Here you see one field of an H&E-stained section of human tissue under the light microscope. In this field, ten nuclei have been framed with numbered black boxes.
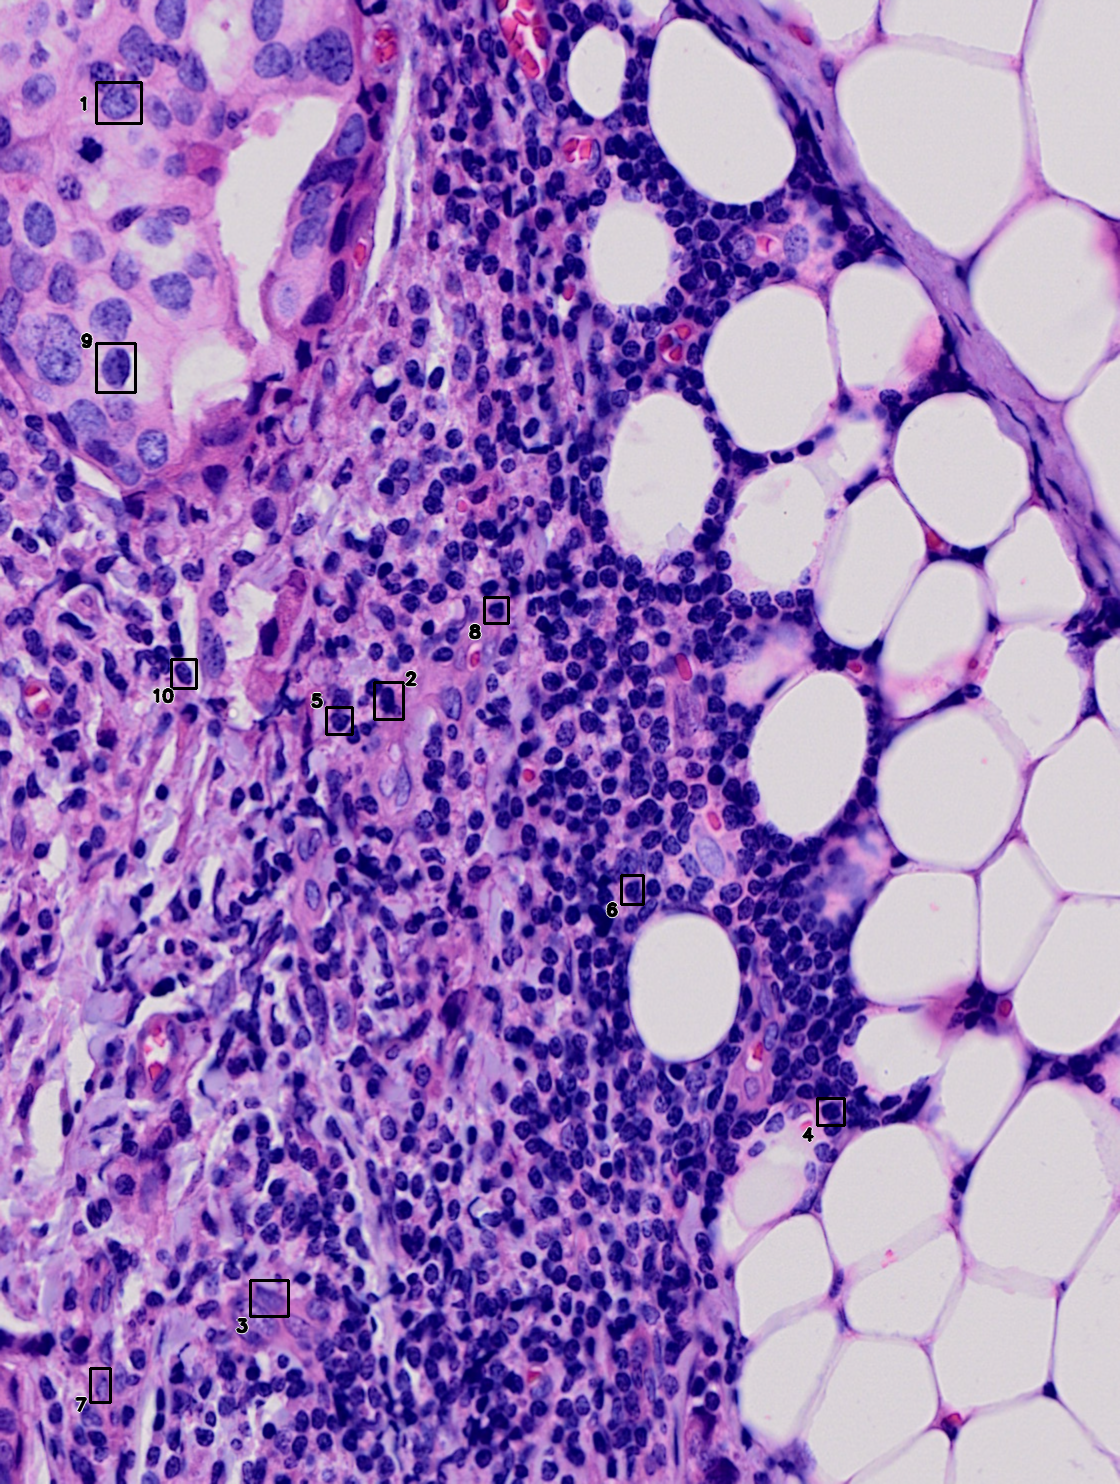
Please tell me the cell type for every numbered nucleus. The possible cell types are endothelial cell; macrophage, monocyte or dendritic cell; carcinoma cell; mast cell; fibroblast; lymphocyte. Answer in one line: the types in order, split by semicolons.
carcinoma cell; lymphocyte; endothelial cell; lymphocyte; lymphocyte; lymphocyte; endothelial cell; lymphocyte; carcinoma cell; lymphocyte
